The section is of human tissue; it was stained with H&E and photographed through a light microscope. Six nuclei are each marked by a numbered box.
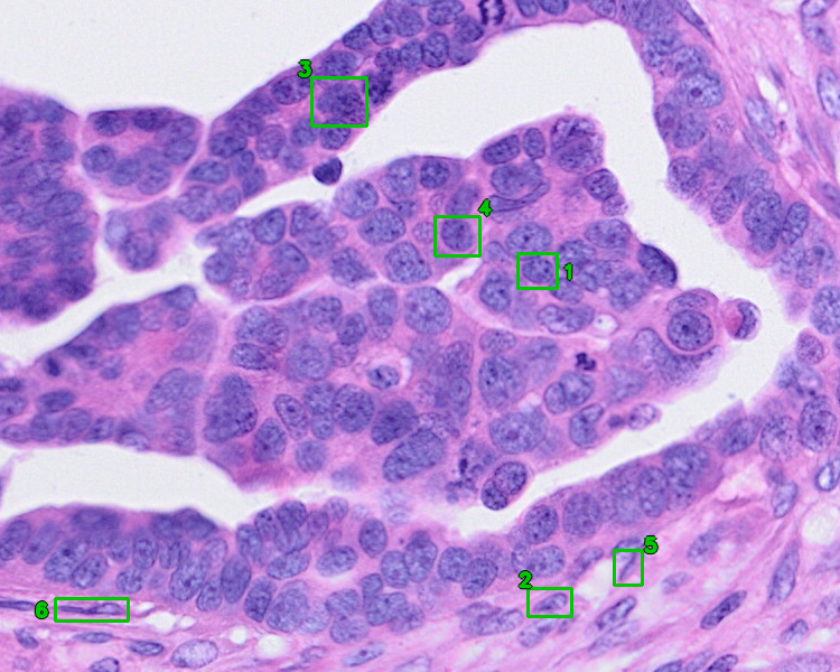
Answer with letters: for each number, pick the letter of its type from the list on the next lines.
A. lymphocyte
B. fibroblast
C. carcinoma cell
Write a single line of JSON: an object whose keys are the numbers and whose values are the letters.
{"1": "C", "2": "B", "3": "C", "4": "C", "5": "B", "6": "B"}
